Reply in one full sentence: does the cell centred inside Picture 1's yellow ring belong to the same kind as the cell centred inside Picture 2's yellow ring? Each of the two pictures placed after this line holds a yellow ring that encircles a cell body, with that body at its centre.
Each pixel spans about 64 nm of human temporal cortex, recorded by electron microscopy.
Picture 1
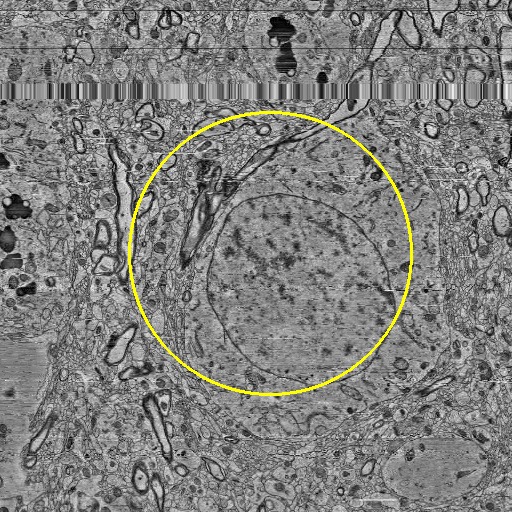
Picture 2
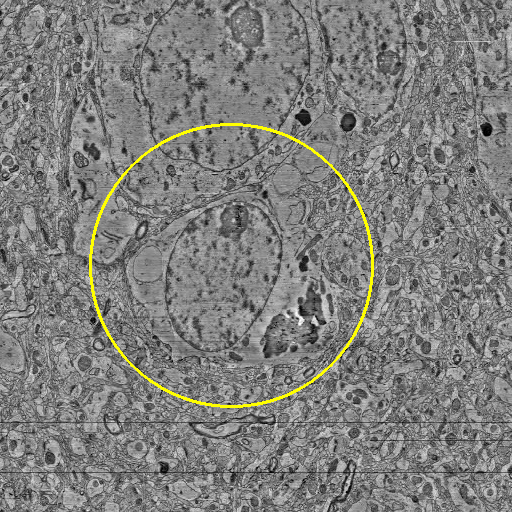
No, the ring-centred cells in Picture 1 and Picture 2 are of two separate kinds.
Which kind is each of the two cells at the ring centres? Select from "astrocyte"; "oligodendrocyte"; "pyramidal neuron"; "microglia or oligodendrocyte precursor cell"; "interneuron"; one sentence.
The cell at the centre of the ring is a pyramidal neuron in the first picture and an astrocyte in the second.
